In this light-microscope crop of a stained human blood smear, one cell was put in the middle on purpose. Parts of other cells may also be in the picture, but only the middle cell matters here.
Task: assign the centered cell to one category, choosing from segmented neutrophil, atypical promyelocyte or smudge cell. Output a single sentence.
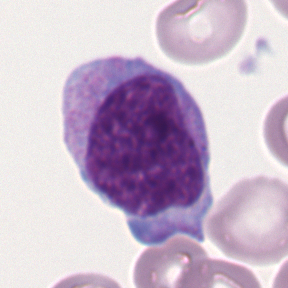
This crop has an atypical promyelocyte at its centre.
